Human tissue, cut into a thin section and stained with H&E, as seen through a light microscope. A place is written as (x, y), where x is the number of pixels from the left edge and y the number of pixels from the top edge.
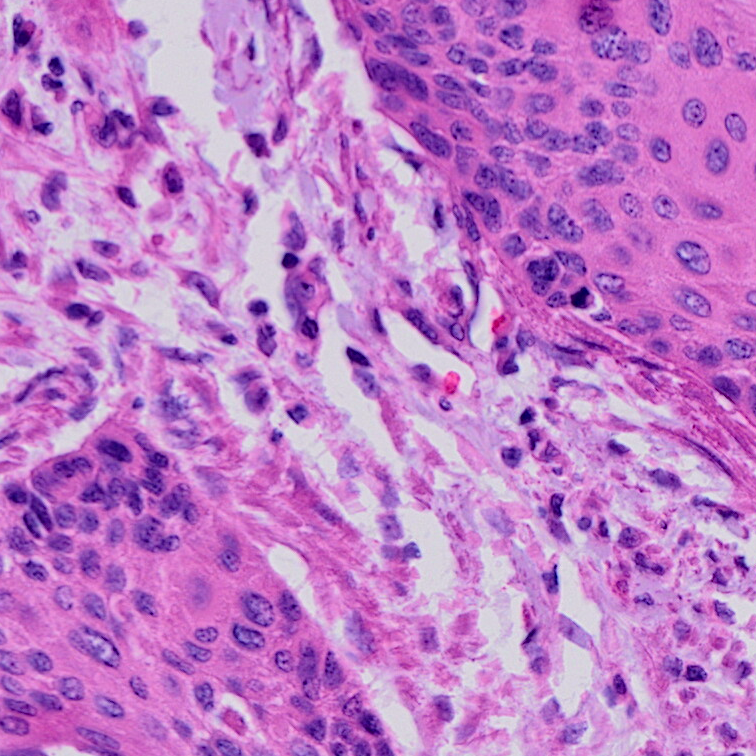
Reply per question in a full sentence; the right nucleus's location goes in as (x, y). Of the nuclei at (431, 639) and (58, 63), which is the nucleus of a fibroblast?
The correct choice is the nucleus at (431, 639), which belongs to a fibroblast.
